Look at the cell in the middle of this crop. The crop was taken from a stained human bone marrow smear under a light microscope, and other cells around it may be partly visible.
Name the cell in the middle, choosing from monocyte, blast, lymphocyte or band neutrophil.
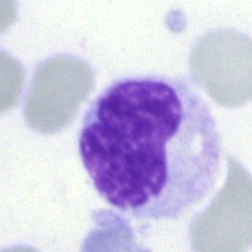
band neutrophil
